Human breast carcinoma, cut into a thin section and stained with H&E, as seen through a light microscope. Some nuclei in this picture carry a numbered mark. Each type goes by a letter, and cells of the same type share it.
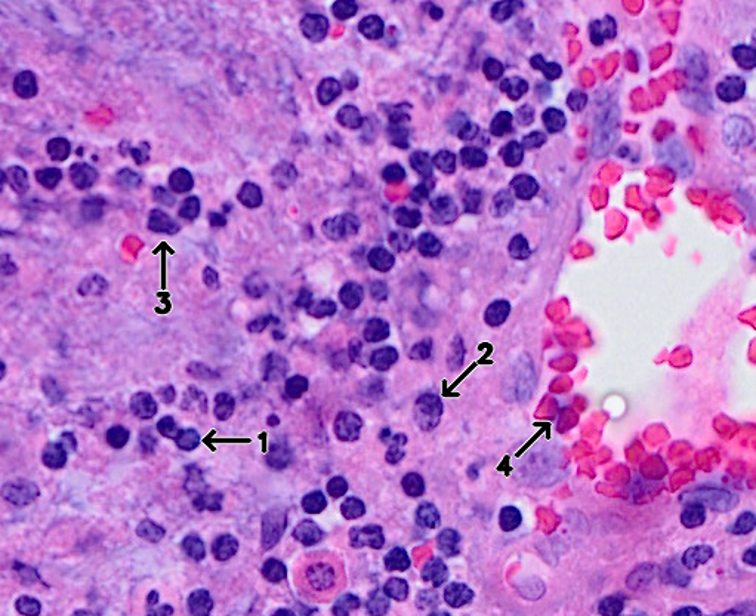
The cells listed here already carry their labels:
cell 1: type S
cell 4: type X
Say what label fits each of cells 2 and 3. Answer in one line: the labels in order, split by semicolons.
type S; type S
